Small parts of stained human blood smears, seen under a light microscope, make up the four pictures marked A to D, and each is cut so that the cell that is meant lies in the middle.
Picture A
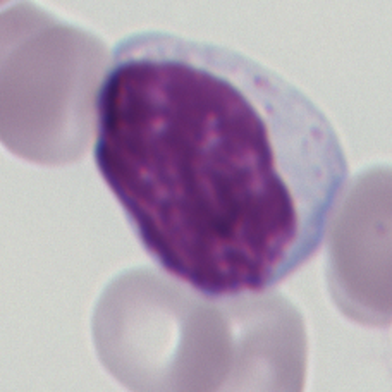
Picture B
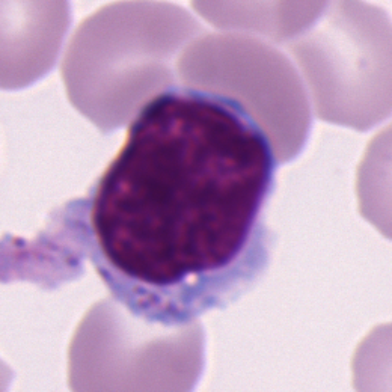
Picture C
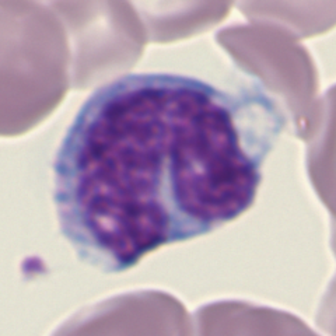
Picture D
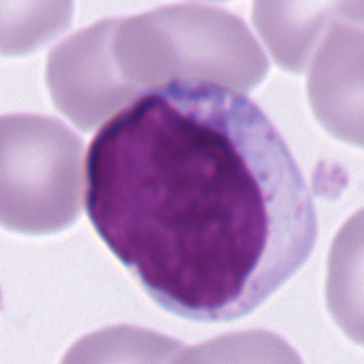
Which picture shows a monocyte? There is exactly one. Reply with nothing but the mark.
C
